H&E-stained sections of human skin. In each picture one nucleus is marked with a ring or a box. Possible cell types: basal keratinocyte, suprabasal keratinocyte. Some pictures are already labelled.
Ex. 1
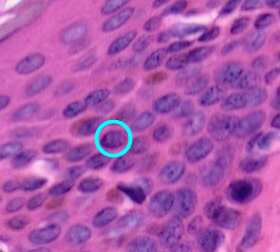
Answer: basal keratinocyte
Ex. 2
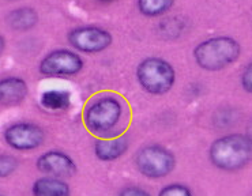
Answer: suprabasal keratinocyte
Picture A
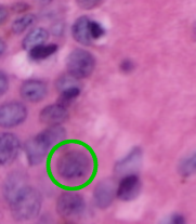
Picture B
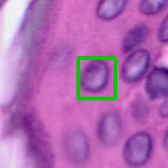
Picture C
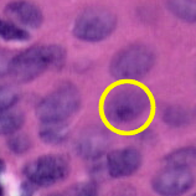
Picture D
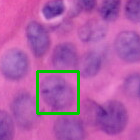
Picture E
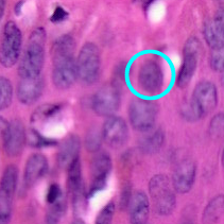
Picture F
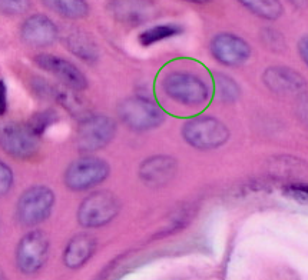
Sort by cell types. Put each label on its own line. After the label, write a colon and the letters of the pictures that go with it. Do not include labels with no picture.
basal keratinocyte: A, E
suprabasal keratinocyte: B, C, D, F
